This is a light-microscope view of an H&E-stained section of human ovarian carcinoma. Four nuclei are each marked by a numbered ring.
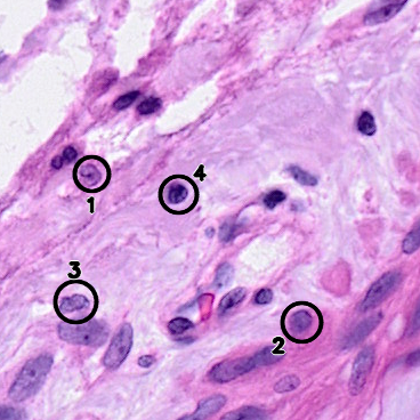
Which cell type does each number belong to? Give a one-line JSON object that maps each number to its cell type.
{"1": "macrophage or monocyte", "2": "smooth muscle cell", "3": "macrophage or monocyte", "4": "lymphocyte"}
